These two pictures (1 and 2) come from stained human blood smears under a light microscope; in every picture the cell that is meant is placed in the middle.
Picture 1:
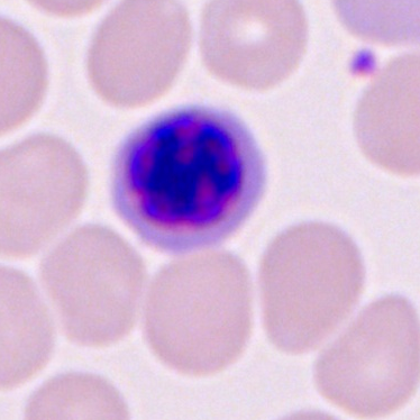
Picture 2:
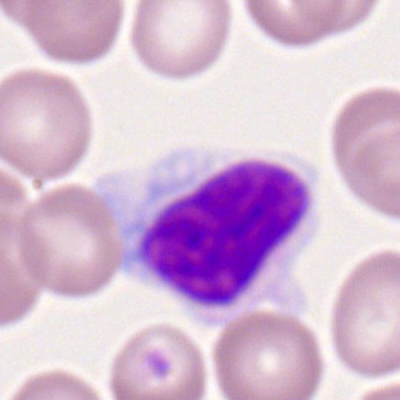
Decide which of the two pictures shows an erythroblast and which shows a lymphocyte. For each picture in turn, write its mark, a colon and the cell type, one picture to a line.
1: erythroblast
2: lymphocyte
